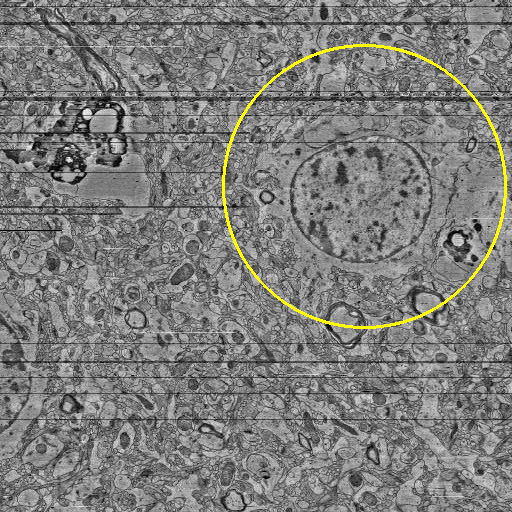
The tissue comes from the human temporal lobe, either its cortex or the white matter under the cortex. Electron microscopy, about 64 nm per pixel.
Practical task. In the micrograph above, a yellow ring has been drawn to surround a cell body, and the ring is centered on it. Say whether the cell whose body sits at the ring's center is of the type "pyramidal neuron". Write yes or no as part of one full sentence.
No, the cell at the center of the ring above is of another type.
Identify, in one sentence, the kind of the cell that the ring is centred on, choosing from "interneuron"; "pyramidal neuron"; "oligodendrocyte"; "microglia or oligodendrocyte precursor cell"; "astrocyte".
The cell at the ring centre is an astrocyte.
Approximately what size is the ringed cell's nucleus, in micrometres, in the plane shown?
In this plane the nucleus spans approximately 9 by 8 micrometers.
